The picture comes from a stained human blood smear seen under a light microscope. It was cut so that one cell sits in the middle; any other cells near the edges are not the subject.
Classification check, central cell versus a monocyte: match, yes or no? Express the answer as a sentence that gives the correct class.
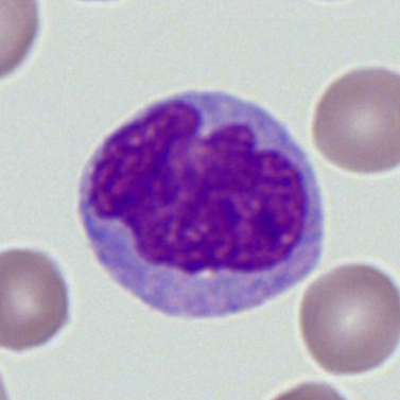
Yes, that middle cell in the crop is a monocyte.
